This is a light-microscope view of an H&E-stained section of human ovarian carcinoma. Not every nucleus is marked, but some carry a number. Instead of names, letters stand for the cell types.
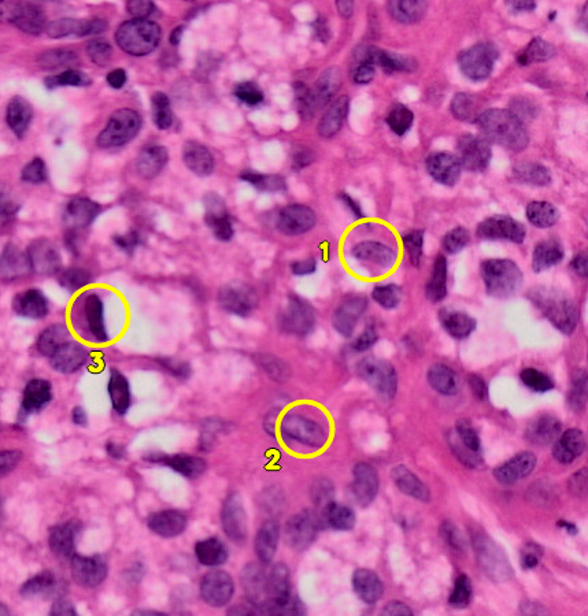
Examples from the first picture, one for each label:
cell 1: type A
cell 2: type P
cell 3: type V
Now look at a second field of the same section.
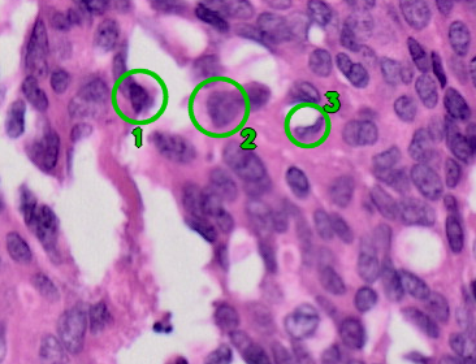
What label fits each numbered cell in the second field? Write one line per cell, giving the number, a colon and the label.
1: type V
2: type V
3: type P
